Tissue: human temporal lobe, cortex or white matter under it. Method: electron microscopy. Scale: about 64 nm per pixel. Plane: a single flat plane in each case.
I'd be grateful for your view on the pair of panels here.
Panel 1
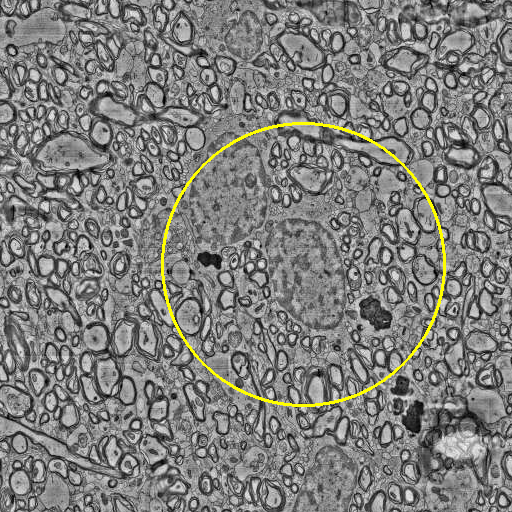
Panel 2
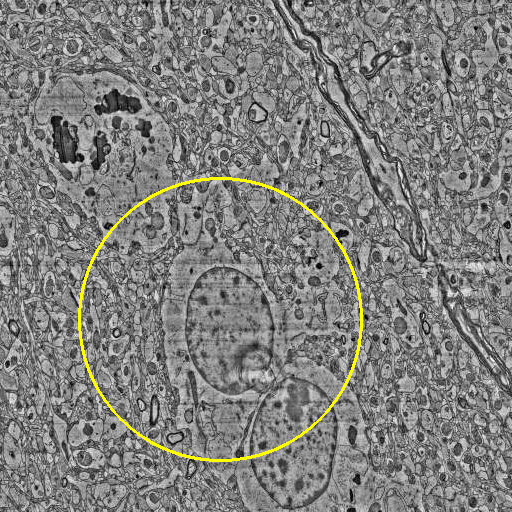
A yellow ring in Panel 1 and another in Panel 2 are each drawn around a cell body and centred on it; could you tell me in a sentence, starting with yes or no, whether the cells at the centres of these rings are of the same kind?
No, they are two kinds of cell.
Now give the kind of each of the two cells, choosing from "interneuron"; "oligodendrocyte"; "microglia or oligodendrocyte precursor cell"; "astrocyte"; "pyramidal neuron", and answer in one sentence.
The cell in the first picture is an oligodendrocyte, and the cell in the second is an astrocyte.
